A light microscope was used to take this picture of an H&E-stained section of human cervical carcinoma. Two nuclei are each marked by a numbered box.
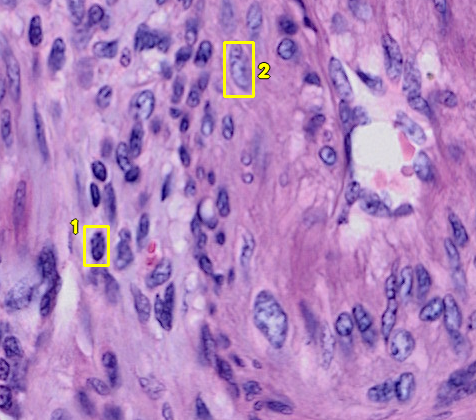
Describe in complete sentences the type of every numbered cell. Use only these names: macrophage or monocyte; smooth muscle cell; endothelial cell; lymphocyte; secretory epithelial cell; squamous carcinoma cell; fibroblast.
Cell 1 is a lymphocyte. Cell 2 is a smooth muscle cell.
